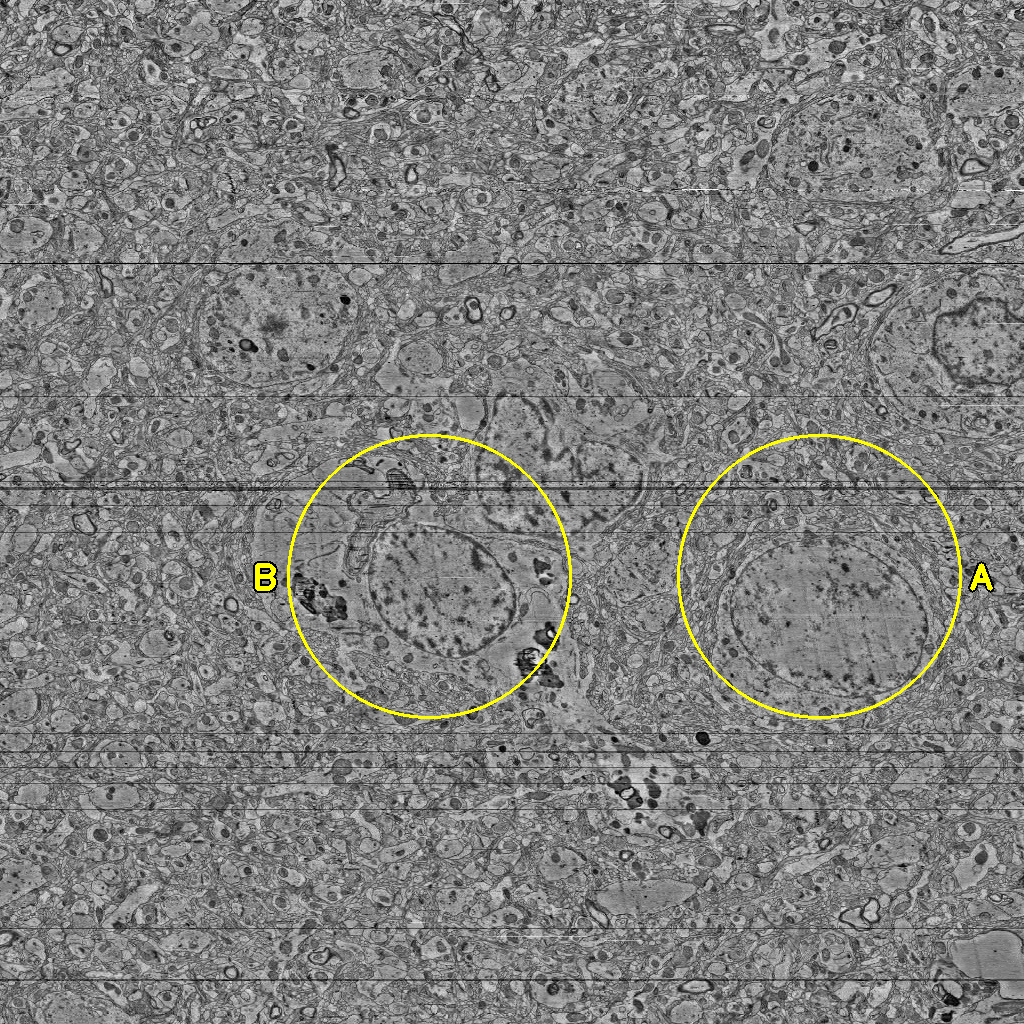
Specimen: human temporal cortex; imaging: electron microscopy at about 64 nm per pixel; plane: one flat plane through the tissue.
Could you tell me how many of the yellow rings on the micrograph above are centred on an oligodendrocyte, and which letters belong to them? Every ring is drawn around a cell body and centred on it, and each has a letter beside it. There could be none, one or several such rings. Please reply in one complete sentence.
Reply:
The count for rings centred on an oligodendrocyte is zero, since no such ring exists here.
